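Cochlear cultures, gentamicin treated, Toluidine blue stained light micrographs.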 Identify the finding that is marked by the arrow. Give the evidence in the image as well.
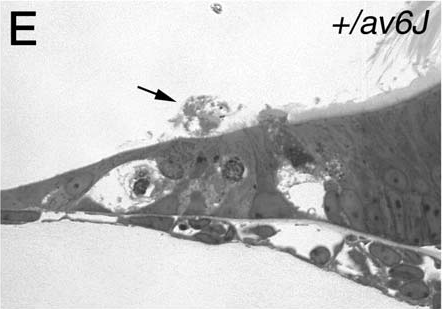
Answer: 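A rounded, fragmented cell body sits above the surface of the epithelium. It is detached from the cell layer below. That points to this answer: extruded hair cells.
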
